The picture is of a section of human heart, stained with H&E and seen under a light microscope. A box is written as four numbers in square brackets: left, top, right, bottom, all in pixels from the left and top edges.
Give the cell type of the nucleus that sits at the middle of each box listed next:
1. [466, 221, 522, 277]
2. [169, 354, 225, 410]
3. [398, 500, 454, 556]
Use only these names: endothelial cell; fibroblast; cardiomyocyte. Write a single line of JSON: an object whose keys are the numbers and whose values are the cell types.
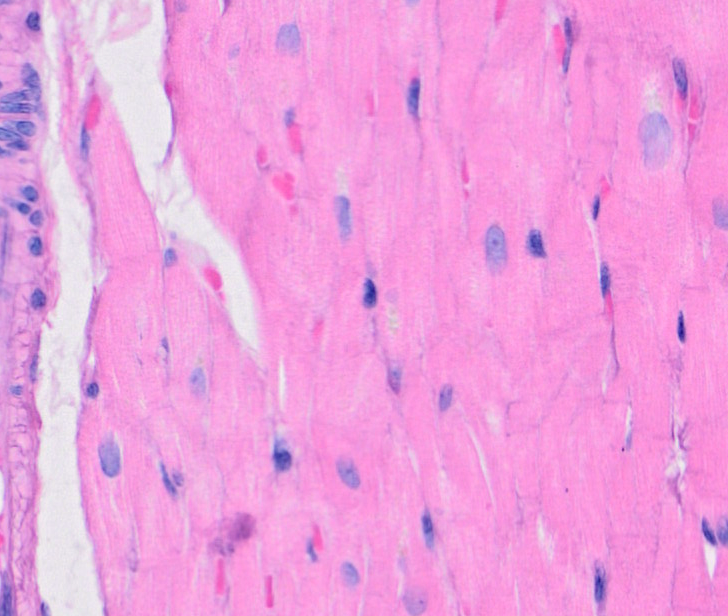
{"1": "cardiomyocyte", "2": "cardiomyocyte", "3": "endothelial cell"}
